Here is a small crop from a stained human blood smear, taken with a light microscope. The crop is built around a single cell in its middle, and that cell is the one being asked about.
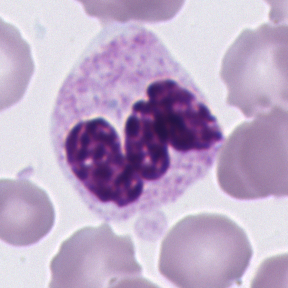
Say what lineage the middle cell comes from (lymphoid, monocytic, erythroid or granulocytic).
granulocytic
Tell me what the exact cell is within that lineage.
segmented neutrophil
